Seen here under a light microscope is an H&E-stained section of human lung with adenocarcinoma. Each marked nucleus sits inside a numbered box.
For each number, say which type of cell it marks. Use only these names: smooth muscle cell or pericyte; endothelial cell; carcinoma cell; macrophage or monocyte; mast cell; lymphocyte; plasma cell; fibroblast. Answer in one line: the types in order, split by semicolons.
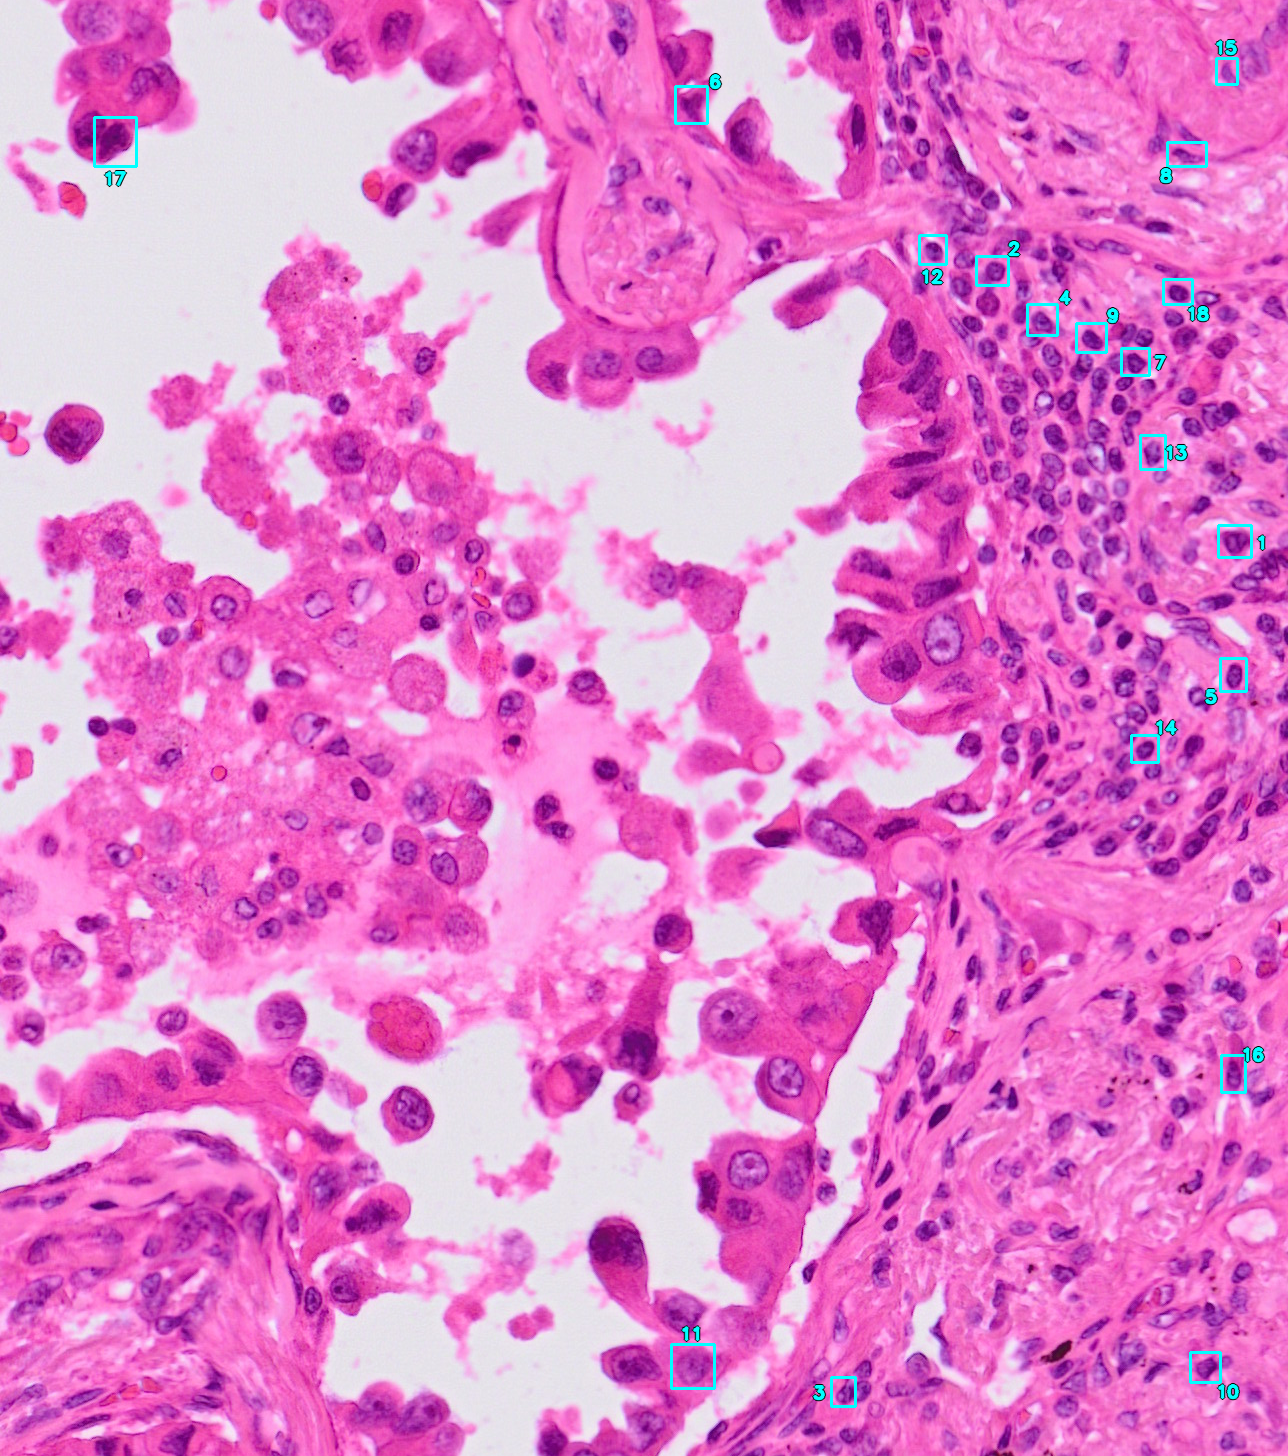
plasma cell; lymphocyte; lymphocyte; lymphocyte; lymphocyte; carcinoma cell; lymphocyte; smooth muscle cell or pericyte; lymphocyte; plasma cell; carcinoma cell; lymphocyte; lymphocyte; lymphocyte; smooth muscle cell or pericyte; plasma cell; carcinoma cell; lymphocyte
